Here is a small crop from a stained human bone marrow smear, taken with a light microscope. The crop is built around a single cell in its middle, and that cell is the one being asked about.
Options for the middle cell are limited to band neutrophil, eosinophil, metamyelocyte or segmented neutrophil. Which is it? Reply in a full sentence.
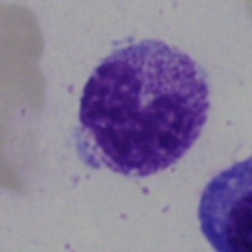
The centrally placed cell is classified as a metamyelocyte.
